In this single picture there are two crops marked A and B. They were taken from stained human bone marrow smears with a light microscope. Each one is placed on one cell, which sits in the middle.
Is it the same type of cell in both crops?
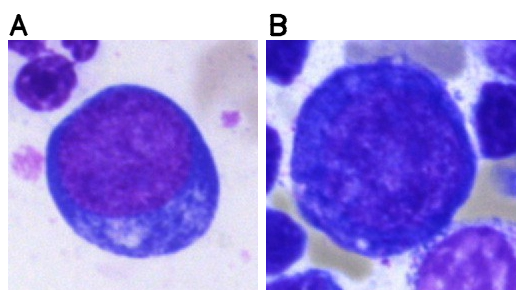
yes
